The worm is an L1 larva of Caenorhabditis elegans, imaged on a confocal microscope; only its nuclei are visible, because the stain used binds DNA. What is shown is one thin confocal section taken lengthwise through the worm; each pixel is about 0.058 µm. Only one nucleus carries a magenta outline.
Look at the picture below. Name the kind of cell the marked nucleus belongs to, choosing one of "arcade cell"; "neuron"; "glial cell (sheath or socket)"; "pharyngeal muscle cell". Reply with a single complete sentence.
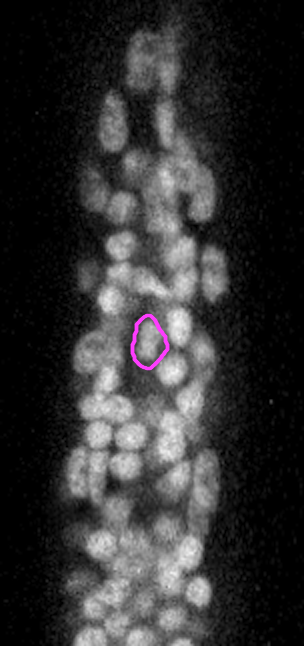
The marked nucleus belongs to a pharyngeal muscle cell.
